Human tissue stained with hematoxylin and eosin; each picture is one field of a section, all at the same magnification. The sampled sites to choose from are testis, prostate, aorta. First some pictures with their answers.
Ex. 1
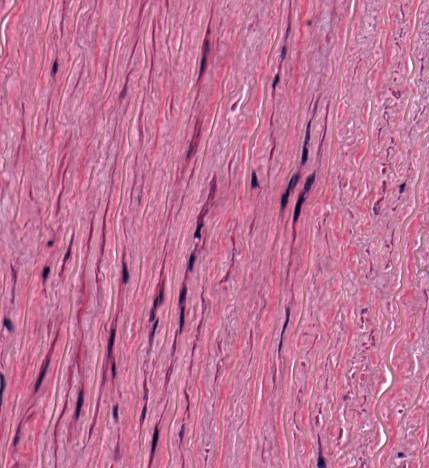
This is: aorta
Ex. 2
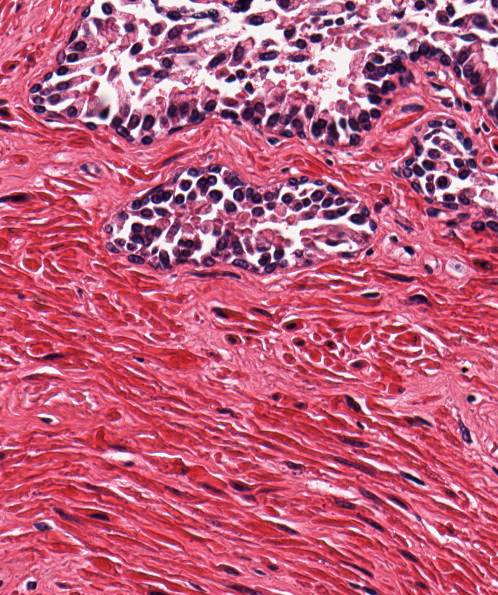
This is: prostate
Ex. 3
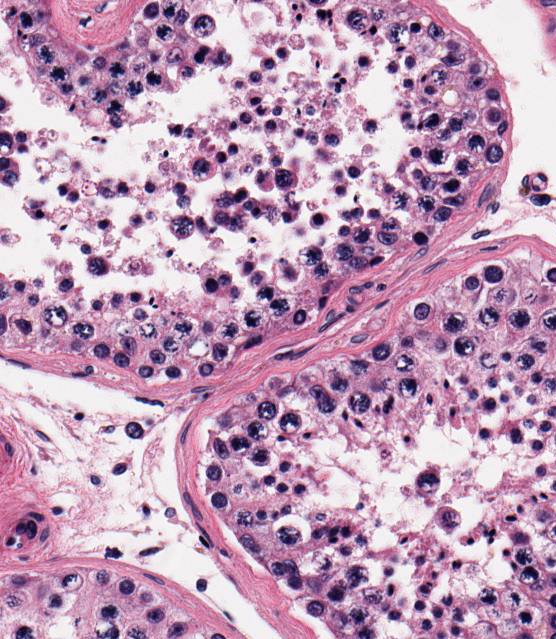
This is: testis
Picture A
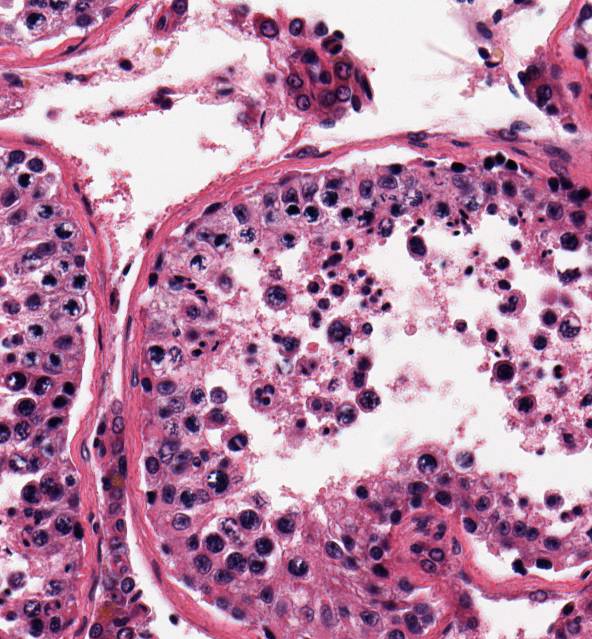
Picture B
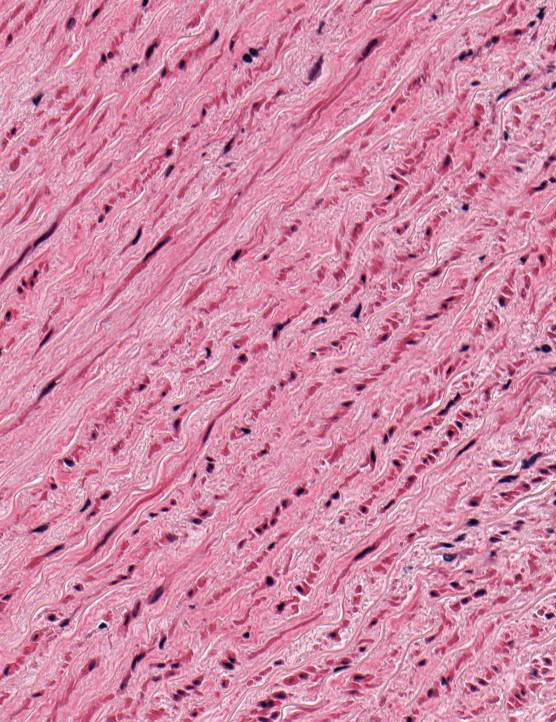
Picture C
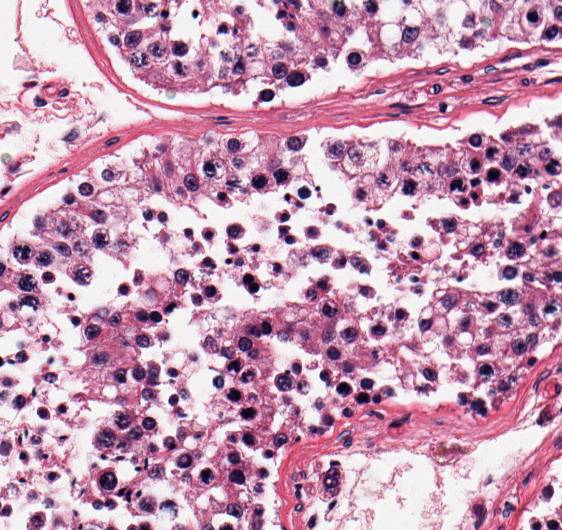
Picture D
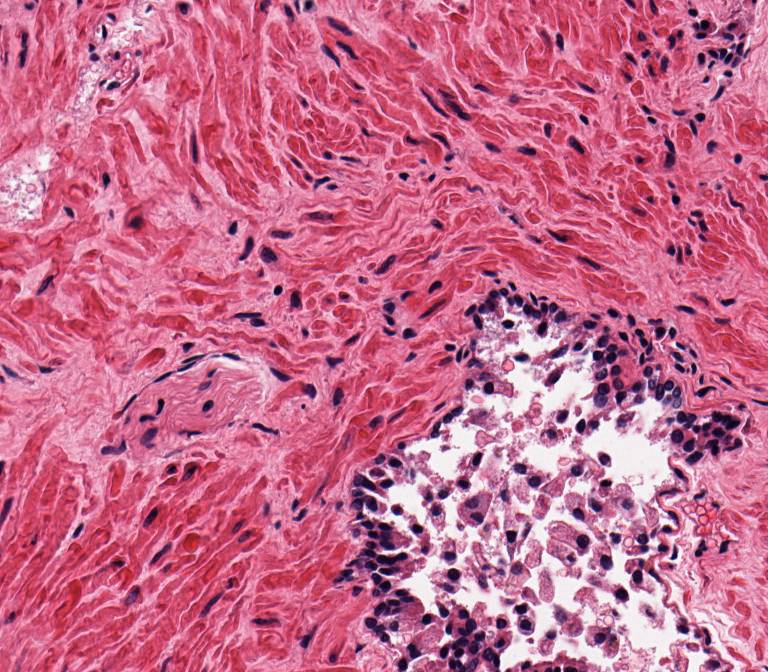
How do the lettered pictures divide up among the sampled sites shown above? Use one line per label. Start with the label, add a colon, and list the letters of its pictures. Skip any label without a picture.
testis: A, C
prostate: D
aorta: B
